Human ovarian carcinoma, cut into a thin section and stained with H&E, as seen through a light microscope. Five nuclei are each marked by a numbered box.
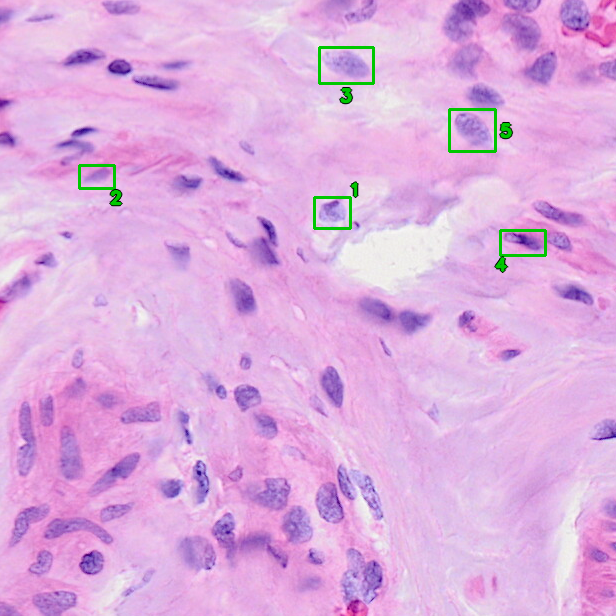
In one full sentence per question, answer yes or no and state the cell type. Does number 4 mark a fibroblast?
No, cell number 4 is identified as a smooth muscle cell, not as a fibroblast.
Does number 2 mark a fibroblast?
No, the correct answer for cell 2 is a smooth muscle cell, not a fibroblast.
